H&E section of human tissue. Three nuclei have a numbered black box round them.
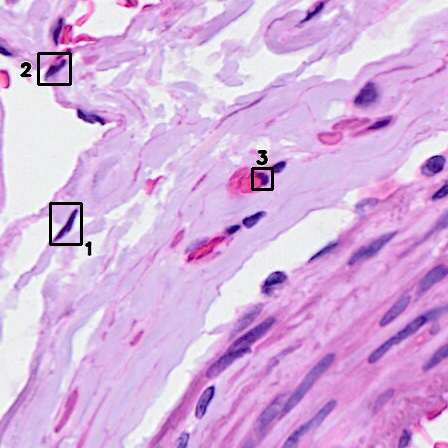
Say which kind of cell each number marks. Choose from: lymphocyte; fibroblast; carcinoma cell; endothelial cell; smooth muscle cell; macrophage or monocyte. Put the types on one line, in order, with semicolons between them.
fibroblast; endothelial cell; endothelial cell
